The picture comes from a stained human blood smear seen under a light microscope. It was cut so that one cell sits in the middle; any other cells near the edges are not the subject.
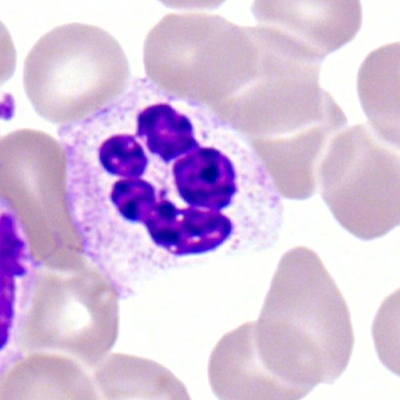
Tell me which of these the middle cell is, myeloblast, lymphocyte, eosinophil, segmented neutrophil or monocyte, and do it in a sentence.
The cell centered in this field of view is a segmented neutrophil.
